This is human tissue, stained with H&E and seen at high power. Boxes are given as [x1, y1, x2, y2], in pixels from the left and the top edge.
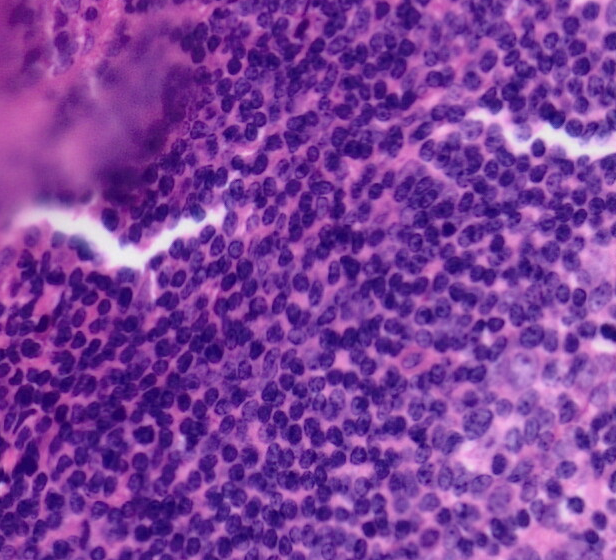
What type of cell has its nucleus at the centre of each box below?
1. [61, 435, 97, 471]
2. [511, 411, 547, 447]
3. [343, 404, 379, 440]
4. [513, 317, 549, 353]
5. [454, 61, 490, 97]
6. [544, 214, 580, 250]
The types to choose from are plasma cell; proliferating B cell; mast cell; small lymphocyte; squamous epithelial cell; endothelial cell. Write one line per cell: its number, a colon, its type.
1: small lymphocyte
2: proliferating B cell
3: small lymphocyte
4: proliferating B cell
5: small lymphocyte
6: small lymphocyte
